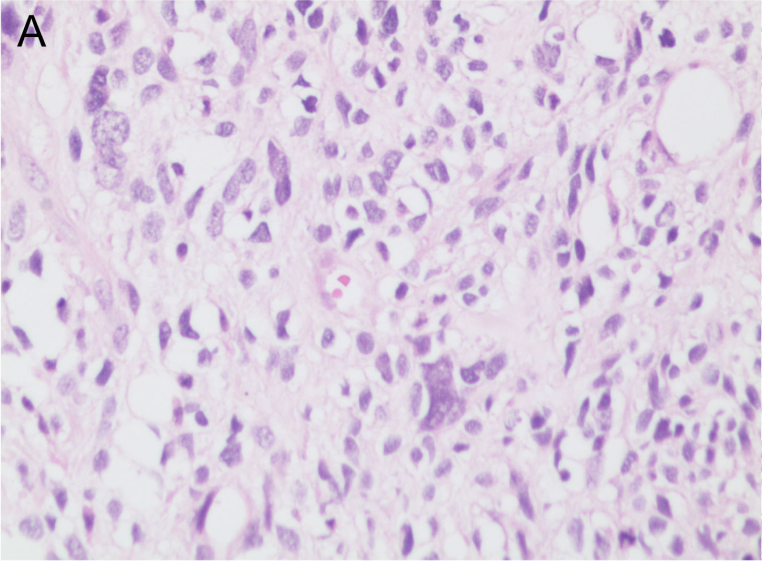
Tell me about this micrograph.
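This is a tumor made up of spindle-shaped cells lying loosely in a pale pink, fine fibrillary background. Many nuclei are elongated and tapered, while others are oval or plump, and they vary noticeably in size and darkness. A few nuclei are large and coarsely textured, and some cells look larger than their neighbours. The cytoplasm is scant and pale, and the cell borders are hard to make out. Scattered round clear spaces interrupt the tissue, one of them holding a few small red blood cells.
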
